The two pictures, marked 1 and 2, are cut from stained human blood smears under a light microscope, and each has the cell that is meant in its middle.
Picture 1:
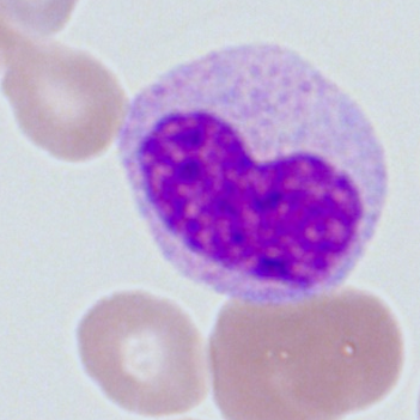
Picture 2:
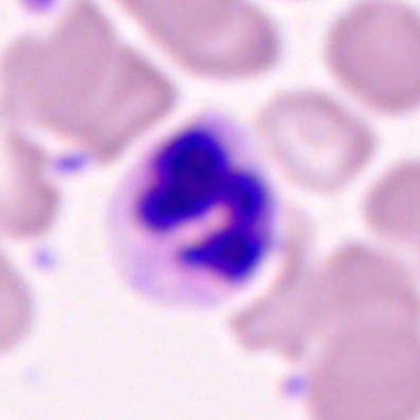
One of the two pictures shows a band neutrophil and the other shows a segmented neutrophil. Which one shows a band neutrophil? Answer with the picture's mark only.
1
